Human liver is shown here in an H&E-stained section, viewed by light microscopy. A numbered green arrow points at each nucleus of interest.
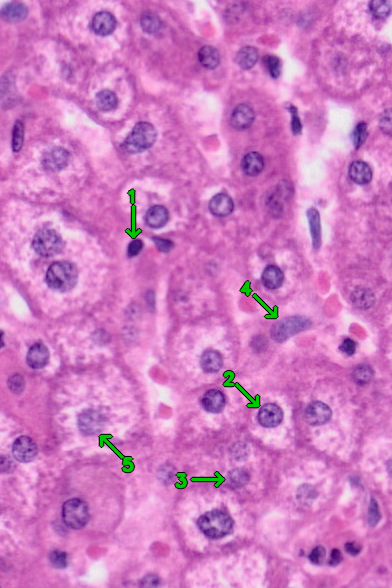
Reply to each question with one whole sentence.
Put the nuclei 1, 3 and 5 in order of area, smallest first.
By area, going up from the smallest, they rank 1, 3, 5.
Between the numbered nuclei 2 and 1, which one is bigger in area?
Number 2 is larger; its area is about 2 times that of number 1.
